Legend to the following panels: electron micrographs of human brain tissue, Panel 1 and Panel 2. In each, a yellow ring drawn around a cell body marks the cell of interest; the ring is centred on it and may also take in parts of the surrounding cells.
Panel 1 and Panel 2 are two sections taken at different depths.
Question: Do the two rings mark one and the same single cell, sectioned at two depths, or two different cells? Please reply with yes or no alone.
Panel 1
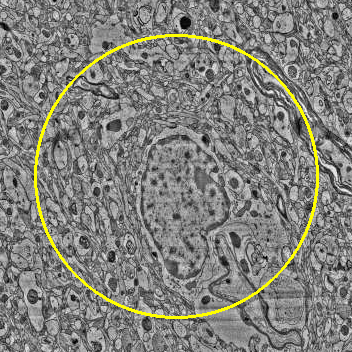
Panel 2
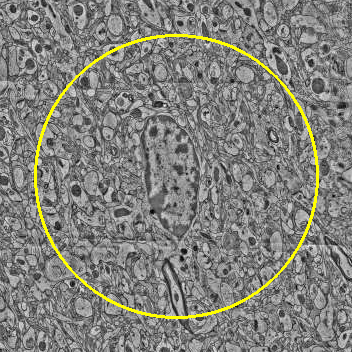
no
